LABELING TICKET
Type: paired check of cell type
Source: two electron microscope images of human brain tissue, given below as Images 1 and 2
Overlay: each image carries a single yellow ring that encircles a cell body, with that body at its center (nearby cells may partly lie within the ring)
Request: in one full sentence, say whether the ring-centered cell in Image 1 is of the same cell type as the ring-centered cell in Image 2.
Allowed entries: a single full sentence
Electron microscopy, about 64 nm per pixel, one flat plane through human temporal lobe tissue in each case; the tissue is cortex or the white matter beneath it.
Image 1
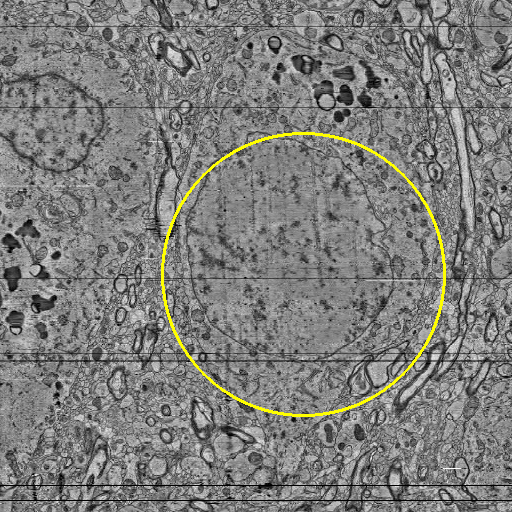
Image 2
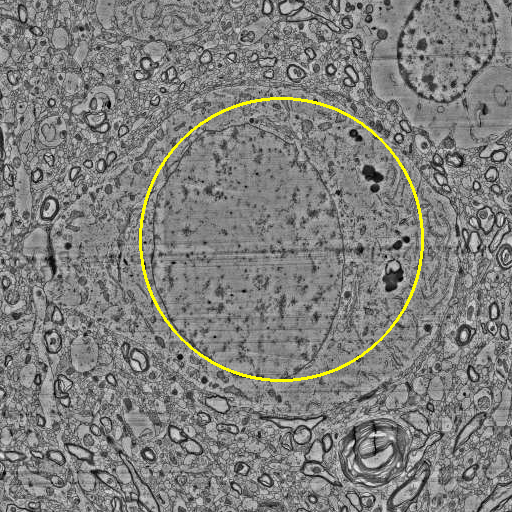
Yes, the cells centered in the rings of Image 1 and Image 2 share one type.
